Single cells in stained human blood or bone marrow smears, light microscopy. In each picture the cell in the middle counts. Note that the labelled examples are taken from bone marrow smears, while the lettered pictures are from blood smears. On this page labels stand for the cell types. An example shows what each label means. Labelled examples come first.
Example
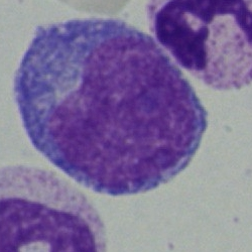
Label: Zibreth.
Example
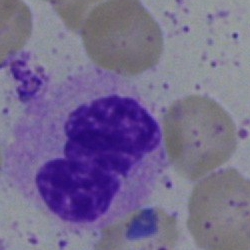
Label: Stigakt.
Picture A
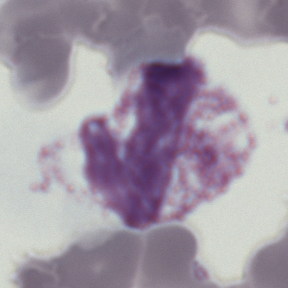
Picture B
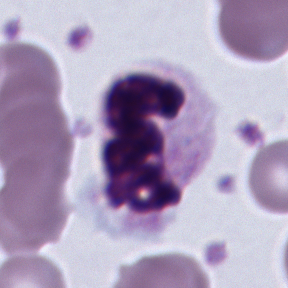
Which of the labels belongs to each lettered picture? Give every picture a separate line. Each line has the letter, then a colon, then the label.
A: Stigakt.
B: Stigakt.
